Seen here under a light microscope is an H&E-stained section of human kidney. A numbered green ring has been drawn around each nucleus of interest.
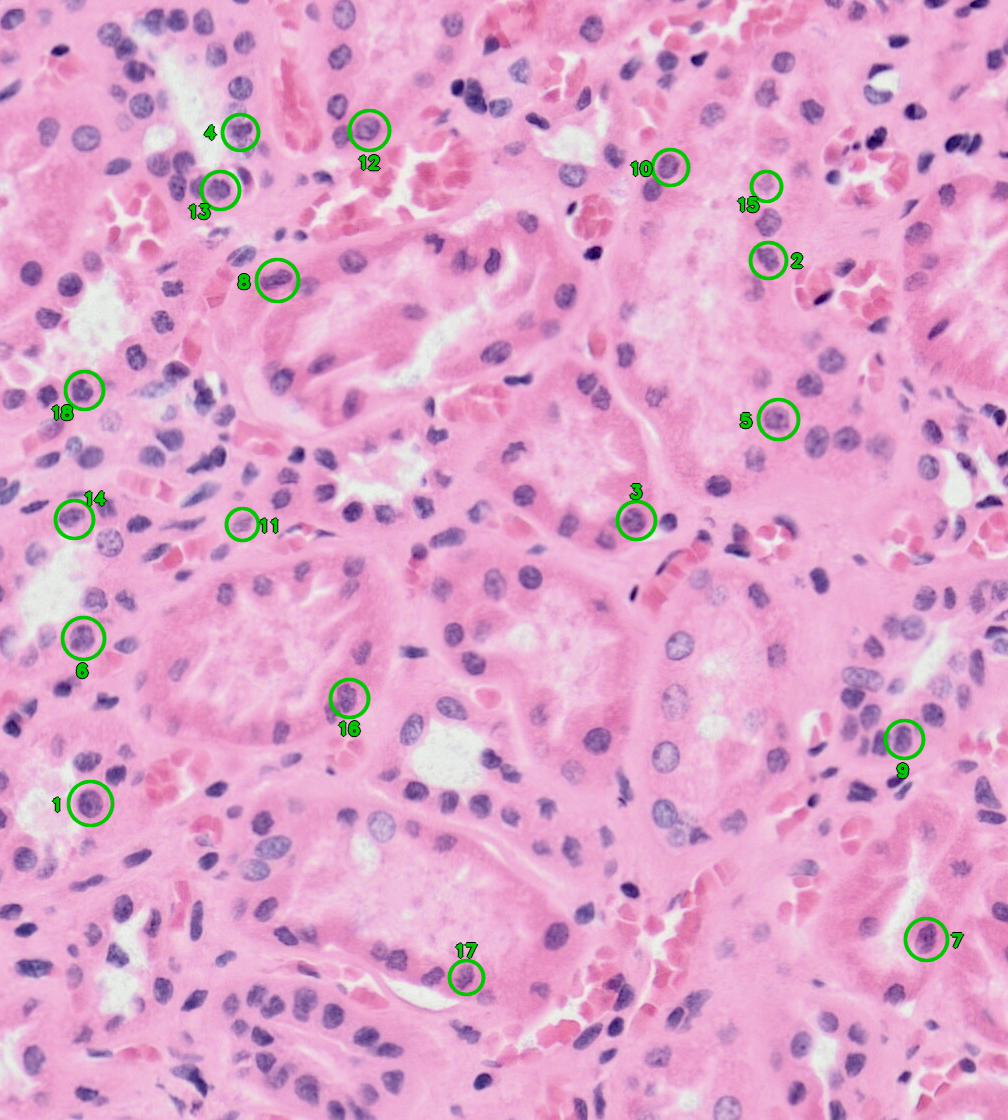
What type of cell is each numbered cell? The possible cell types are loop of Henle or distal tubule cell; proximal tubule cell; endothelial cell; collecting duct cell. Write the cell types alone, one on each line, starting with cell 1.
loop of Henle or distal tubule cell
proximal tubule cell
proximal tubule cell
collecting duct cell
proximal tubule cell
loop of Henle or distal tubule cell
proximal tubule cell
proximal tubule cell
collecting duct cell
proximal tubule cell
loop of Henle or distal tubule cell
proximal tubule cell
collecting duct cell
loop of Henle or distal tubule cell
proximal tubule cell
proximal tubule cell
proximal tubule cell
loop of Henle or distal tubule cell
